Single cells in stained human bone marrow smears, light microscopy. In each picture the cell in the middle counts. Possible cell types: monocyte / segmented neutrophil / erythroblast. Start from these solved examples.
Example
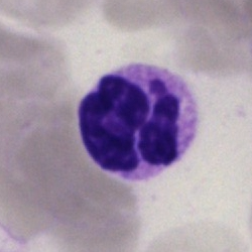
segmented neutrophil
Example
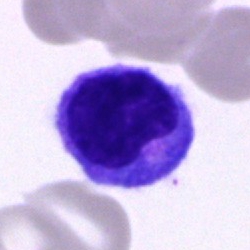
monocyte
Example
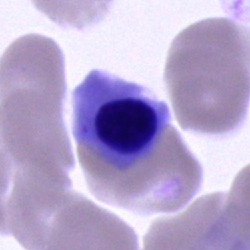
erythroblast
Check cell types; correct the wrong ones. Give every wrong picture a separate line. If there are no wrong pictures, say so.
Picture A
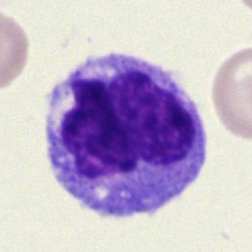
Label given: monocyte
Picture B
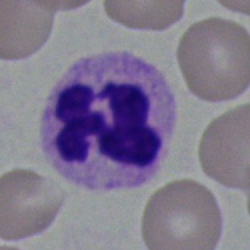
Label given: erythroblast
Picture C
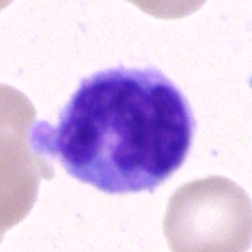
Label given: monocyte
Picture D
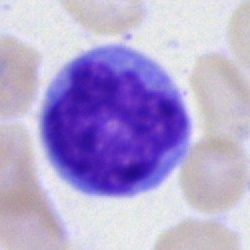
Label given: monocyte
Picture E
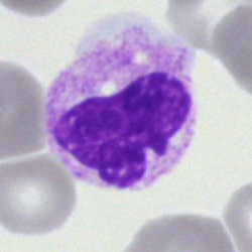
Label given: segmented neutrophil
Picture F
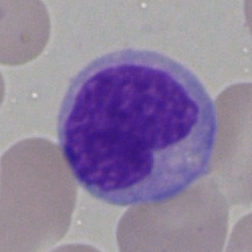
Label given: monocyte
B: not erythroblast but segmented neutrophil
